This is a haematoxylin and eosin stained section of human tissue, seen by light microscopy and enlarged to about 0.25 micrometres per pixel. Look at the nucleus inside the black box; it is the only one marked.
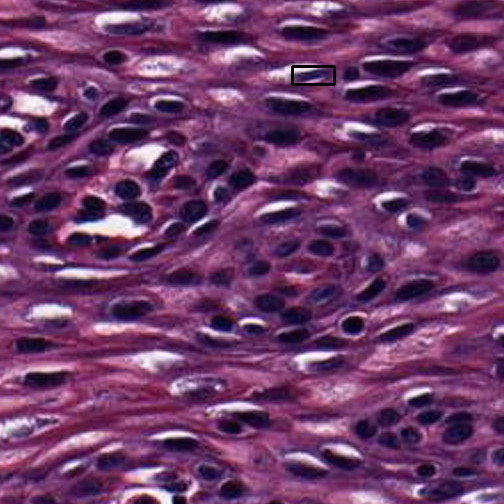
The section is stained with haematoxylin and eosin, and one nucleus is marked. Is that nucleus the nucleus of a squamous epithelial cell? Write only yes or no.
yes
